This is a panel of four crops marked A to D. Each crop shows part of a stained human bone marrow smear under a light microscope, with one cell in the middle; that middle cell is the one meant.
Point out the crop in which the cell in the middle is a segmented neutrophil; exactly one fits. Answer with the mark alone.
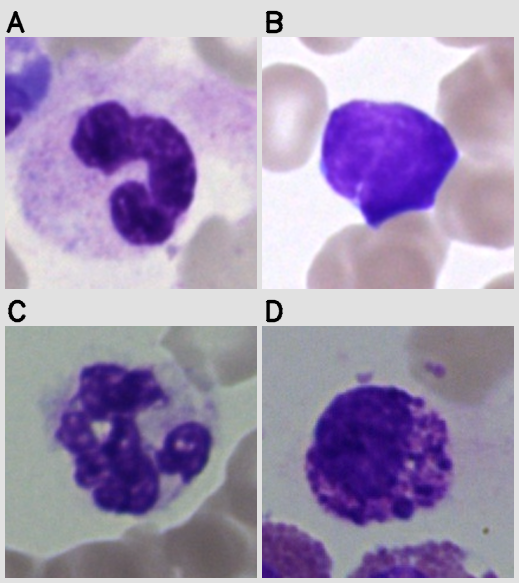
C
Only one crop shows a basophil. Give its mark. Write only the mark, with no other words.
D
